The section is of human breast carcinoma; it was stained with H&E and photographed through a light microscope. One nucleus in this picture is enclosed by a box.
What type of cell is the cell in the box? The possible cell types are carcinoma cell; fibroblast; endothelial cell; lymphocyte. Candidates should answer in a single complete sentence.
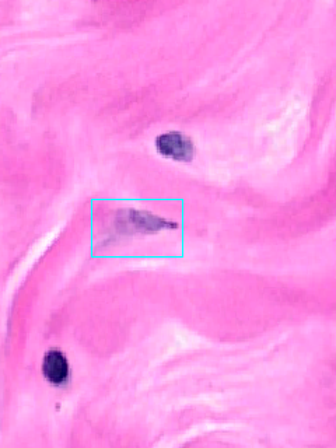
By its classification, the cell in the box is a fibroblast.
